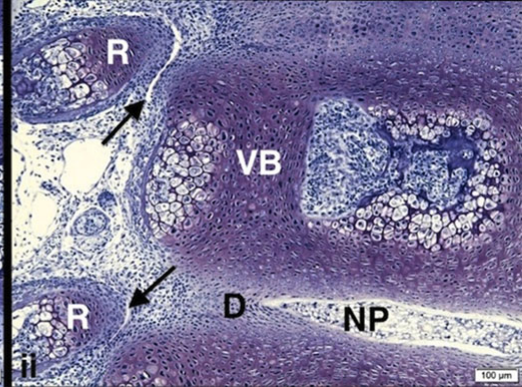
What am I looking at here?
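A purple cartilage mass contains a region of large, pale, swollen cells and a central cavity filled with loose cells. At the left, rib heads with pale cores lie beside it, separated from it by a thin clear cleft. A narrow, pale, elongated space runs through the disc tissue at the lower right. The cleft marks early costo-vertebral joint formation through cavitation of the interzone, and the pale space is the nucleus pulposus of the intervertebral disc.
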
